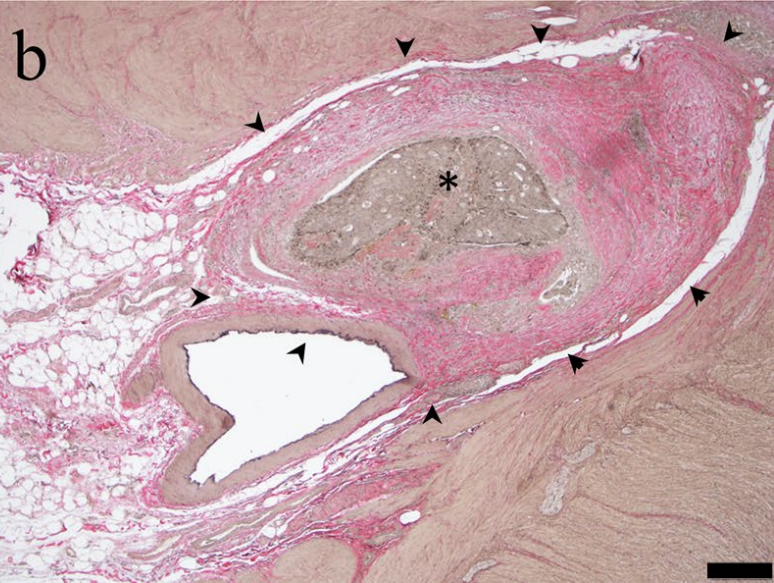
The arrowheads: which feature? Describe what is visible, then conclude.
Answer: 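A dark line also lines the empty vessel at lower left. The answer: elastin fiber.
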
